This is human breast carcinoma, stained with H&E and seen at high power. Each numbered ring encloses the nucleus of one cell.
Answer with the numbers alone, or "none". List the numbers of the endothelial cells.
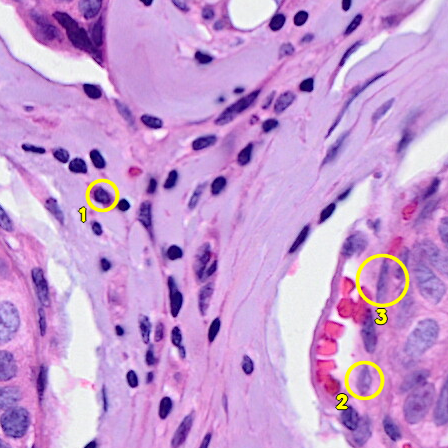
2, 3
